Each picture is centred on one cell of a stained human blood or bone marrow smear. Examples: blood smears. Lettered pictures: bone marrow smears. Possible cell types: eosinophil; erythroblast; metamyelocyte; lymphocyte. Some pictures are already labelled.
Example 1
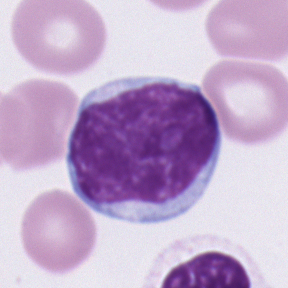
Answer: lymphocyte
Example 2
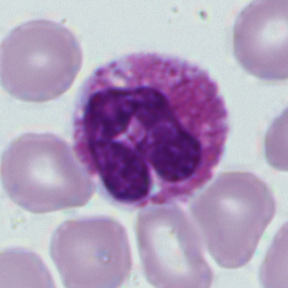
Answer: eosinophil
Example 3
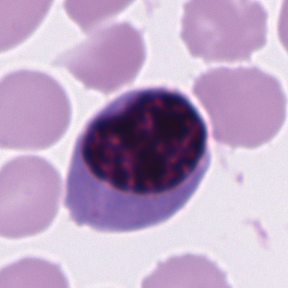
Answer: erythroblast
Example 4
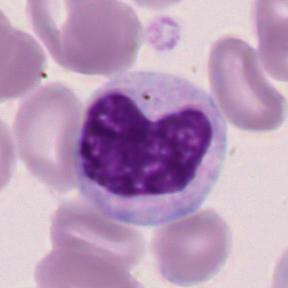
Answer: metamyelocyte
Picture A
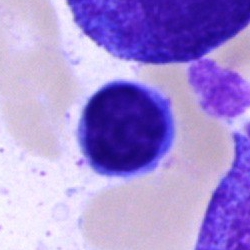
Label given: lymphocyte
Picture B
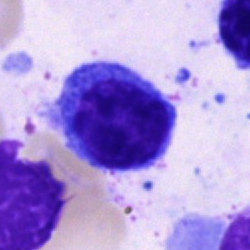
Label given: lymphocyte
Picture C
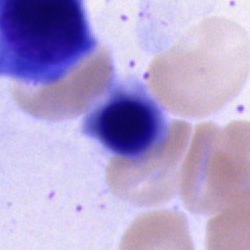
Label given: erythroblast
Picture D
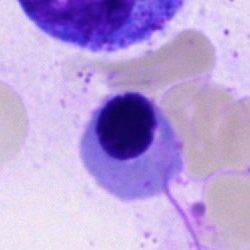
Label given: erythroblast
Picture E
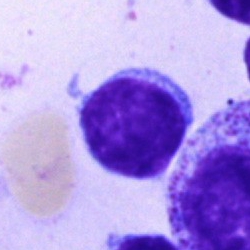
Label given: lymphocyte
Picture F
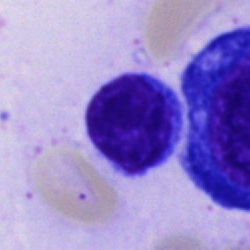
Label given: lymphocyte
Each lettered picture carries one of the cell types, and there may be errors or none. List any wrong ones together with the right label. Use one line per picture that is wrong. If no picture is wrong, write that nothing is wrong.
All correct.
